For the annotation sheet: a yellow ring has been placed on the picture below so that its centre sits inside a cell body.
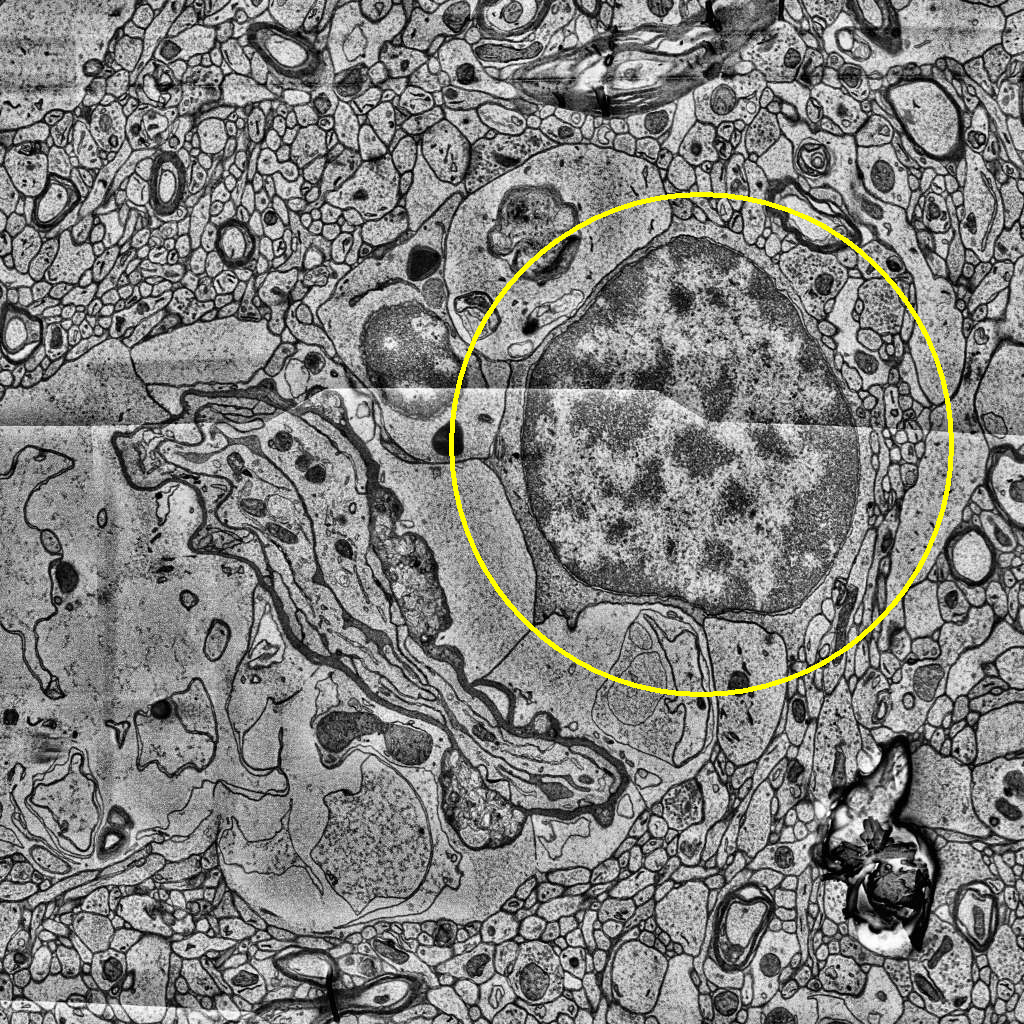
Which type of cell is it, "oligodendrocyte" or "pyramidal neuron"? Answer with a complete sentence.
The cell at the ring's centre is an oligodendrocyte.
